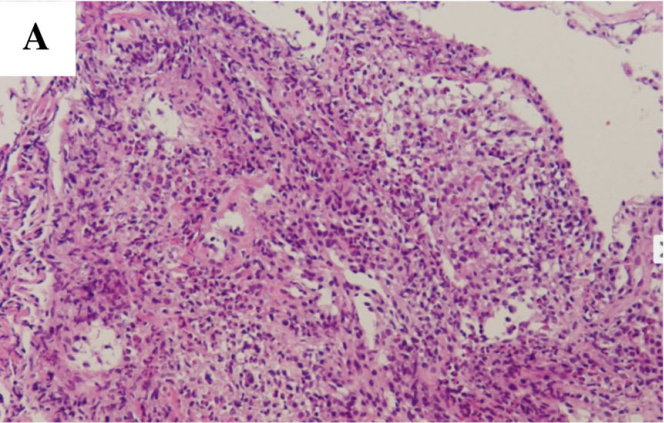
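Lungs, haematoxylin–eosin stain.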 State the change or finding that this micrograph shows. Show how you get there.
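Dense sheets of inflammatory cells fill the tissue. Spindle-shaped cells and small vessels lie among the infiltrate. Little normal air-space architecture remains.
Answer: inflammatory granulations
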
